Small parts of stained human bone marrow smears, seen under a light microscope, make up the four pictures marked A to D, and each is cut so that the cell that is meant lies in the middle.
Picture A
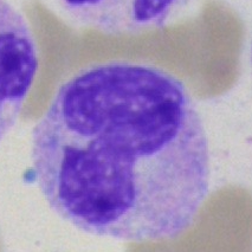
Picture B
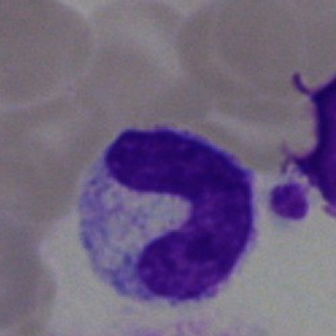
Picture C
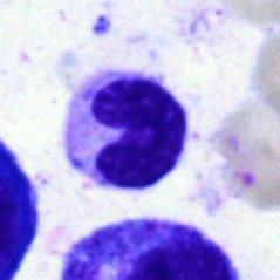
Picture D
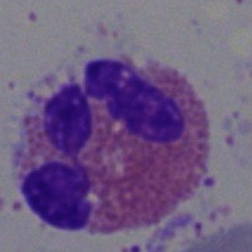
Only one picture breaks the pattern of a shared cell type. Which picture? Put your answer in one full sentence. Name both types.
Unlike the rest, which show band neutrophils, picture D shows an eosinophil.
